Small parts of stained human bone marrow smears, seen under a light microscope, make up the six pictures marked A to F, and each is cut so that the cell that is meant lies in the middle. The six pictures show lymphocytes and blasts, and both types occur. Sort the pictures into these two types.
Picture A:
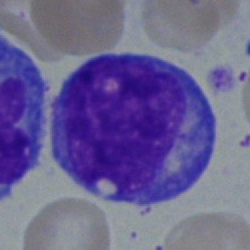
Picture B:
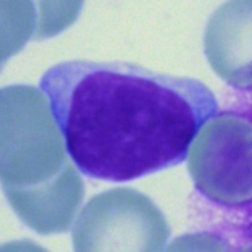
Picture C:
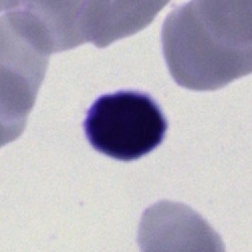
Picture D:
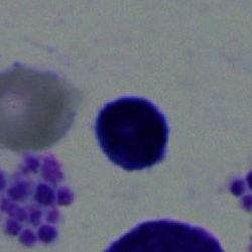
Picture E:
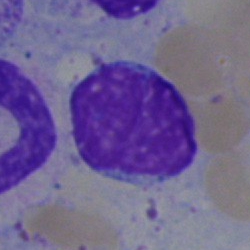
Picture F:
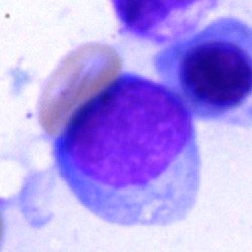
A: blast
B: lymphocyte
C: lymphocyte
D: lymphocyte
E: lymphocyte
F: blast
